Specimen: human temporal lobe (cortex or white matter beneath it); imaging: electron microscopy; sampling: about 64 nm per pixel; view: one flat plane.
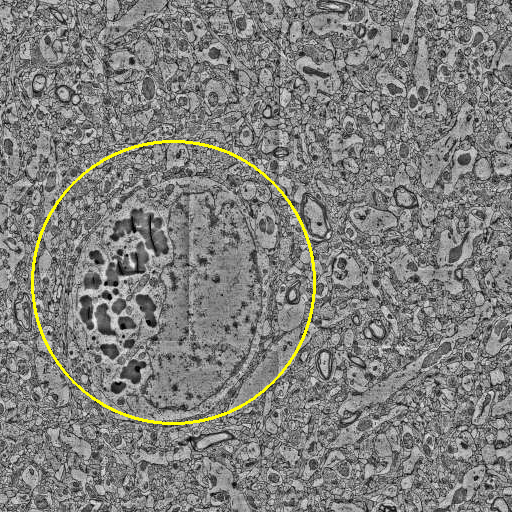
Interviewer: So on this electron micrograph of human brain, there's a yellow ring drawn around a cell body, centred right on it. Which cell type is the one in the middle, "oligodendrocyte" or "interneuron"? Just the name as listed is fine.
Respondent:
interneuron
